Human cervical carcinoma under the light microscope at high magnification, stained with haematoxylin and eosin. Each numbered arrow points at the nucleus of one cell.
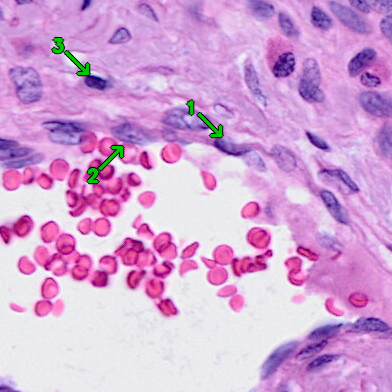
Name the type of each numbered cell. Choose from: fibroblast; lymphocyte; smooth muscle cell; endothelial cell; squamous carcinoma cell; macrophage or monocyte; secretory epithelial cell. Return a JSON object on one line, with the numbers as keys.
{"1": "endothelial cell", "2": "endothelial cell", "3": "lymphocyte"}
